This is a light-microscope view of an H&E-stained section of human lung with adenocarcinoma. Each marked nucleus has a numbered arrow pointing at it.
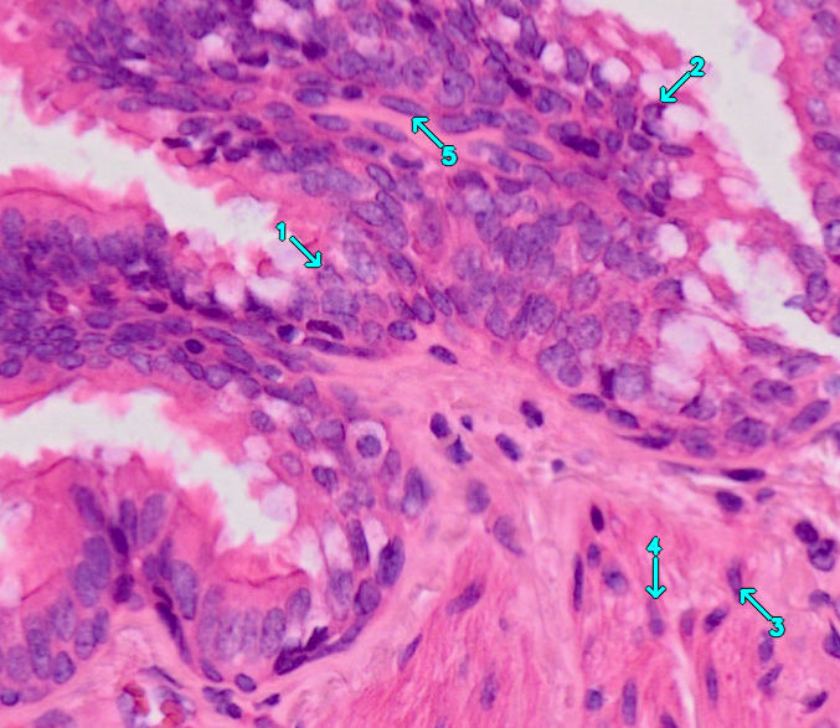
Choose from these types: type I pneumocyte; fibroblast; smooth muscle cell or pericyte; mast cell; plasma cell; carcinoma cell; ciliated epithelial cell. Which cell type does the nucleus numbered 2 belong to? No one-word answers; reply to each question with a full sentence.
In the marked set, the cell given number 2 is a ciliated epithelial cell.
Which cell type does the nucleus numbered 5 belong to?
Among the marked nuclei, number 5 belongs to a ciliated epithelial cell.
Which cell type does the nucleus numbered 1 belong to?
The marked cell with the number 1 is recognised as a ciliated epithelial cell.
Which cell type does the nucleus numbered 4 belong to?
The cell that goes by number 4 is a smooth muscle cell or pericyte.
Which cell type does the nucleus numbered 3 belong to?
The cell that is numbered 3 is a smooth muscle cell or pericyte.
